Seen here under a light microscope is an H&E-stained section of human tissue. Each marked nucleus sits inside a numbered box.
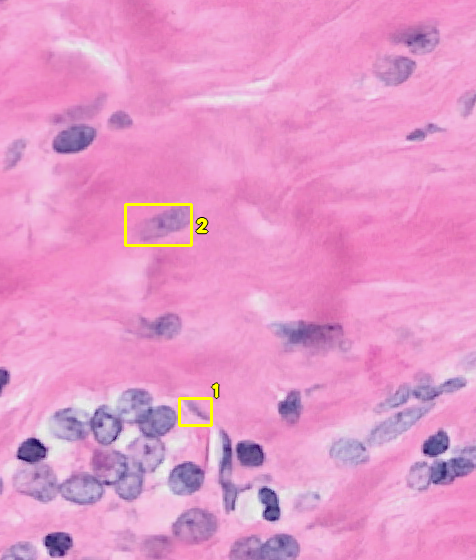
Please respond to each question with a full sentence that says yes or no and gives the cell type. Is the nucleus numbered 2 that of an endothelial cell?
No, cell 2 isn't an endothelial cell; it's a fibroblast.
